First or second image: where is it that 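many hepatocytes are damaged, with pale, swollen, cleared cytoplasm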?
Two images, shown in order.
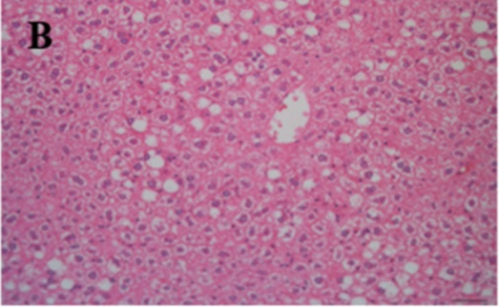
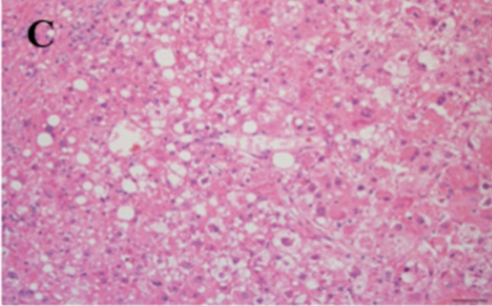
The second image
